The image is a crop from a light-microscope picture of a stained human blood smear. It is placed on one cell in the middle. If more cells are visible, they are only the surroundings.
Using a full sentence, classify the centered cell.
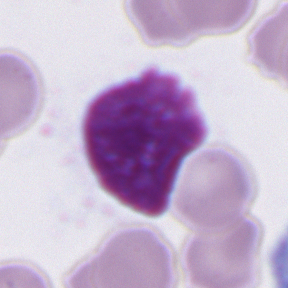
The crop centres on a single cell, and that cell is a smudge cell.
